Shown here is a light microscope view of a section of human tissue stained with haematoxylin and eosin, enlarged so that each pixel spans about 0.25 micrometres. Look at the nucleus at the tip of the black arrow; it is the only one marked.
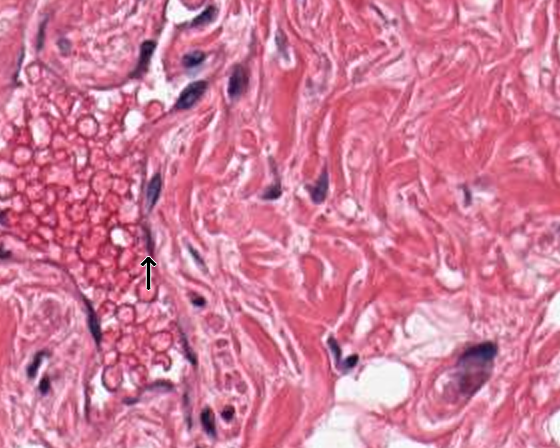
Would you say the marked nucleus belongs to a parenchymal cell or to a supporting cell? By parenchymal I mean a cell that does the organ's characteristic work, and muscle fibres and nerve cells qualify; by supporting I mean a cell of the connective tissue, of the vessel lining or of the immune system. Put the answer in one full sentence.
The cell holding the marked nucleus is identified as a supporting cell.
